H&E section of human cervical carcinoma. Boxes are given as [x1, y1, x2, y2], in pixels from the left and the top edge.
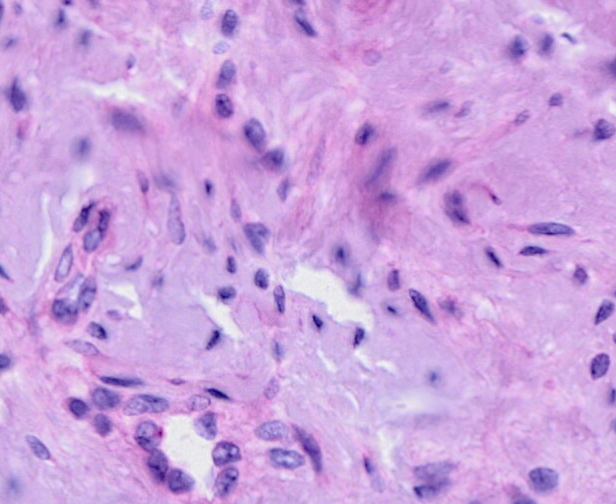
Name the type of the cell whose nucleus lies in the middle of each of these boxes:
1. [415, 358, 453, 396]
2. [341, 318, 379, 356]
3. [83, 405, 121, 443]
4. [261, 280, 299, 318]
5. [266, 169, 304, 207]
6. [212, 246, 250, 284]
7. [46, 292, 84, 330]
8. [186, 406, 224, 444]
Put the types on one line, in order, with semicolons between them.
fibroblast; fibroblast; endothelial cell; fibroblast; fibroblast; fibroblast; endothelial cell; endothelial cell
